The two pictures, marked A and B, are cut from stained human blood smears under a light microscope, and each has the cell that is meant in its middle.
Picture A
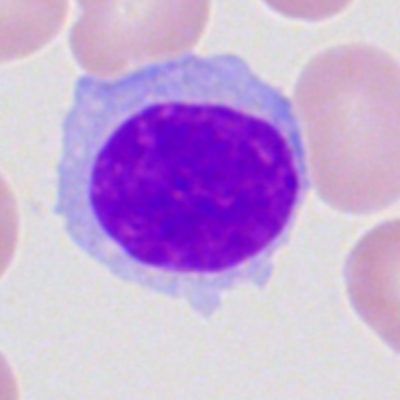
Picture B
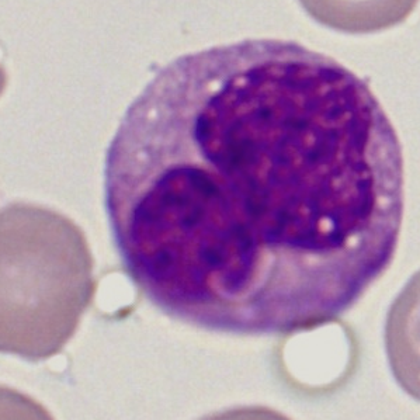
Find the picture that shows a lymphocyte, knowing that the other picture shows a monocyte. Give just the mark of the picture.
A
